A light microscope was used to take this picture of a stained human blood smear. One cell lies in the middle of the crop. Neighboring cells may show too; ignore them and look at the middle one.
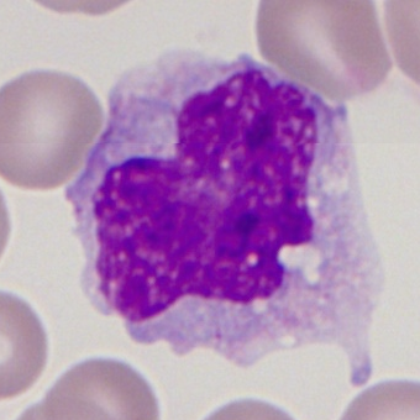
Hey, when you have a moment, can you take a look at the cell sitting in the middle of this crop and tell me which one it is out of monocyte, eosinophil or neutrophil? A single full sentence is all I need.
Occupying the centre of the crop is a monocyte.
